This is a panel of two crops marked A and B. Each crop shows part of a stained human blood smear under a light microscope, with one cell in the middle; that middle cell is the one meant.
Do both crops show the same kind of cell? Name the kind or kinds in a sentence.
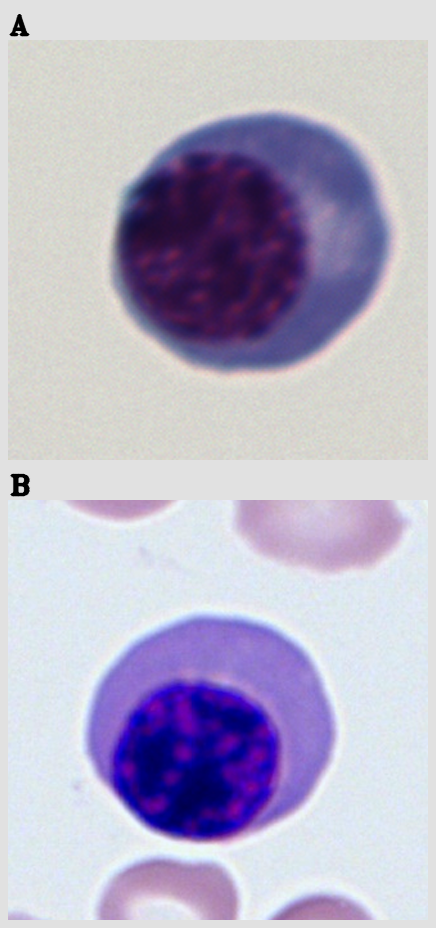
Yes, erythroblasts are the cells shown in both crops.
